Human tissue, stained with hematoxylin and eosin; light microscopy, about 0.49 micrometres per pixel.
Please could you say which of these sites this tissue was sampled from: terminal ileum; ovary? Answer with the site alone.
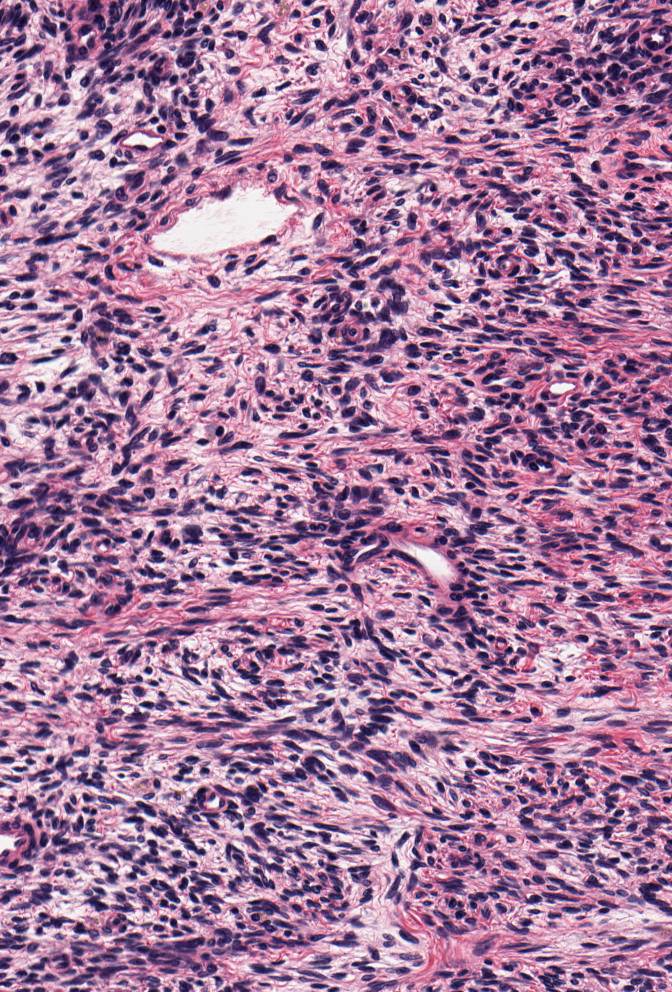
ovary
